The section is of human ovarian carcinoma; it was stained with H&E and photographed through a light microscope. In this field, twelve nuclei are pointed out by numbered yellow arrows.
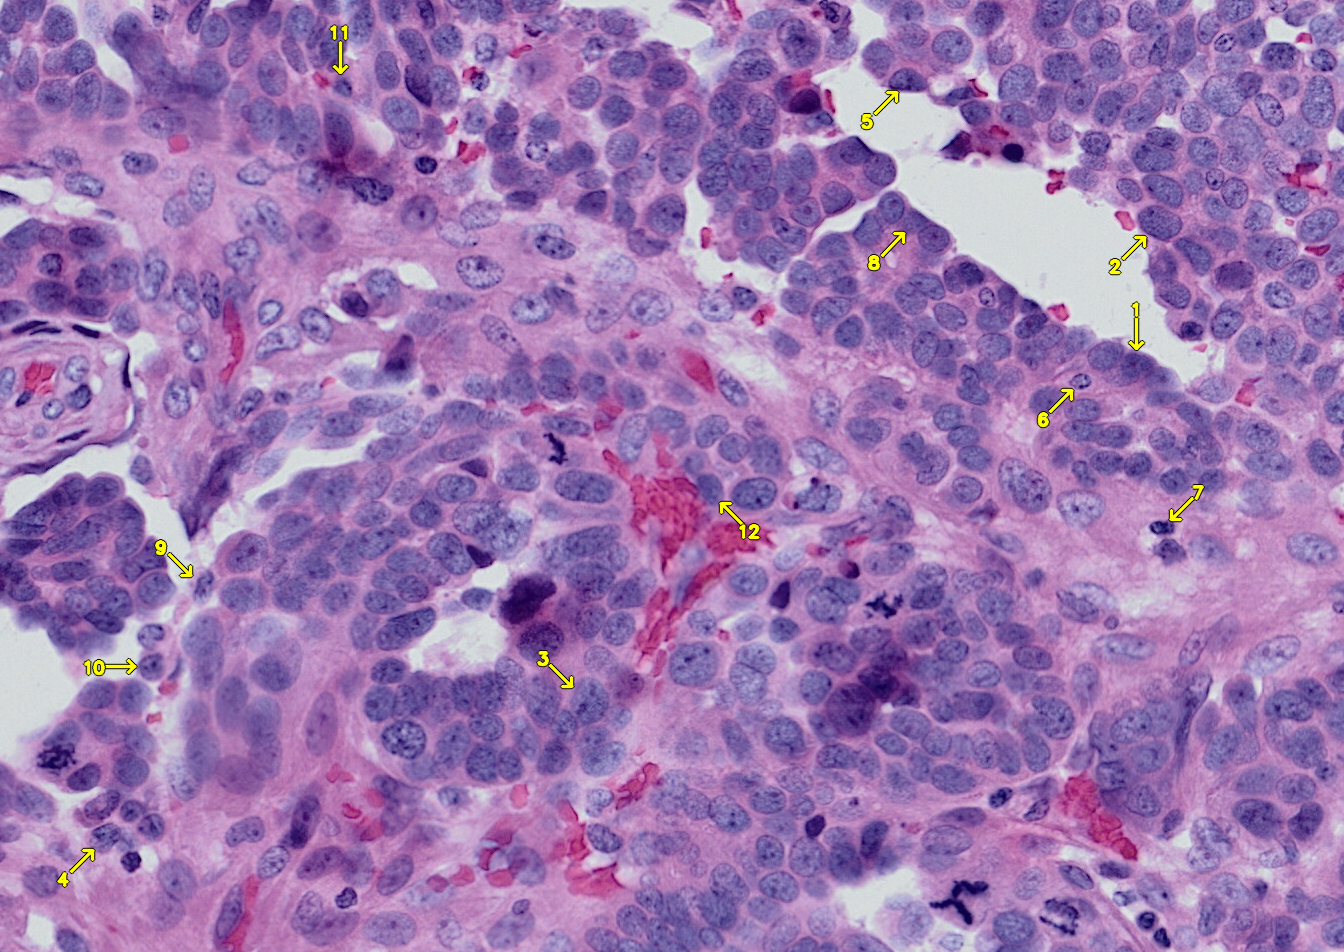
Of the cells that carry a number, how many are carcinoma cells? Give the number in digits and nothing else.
6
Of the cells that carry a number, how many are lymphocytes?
1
